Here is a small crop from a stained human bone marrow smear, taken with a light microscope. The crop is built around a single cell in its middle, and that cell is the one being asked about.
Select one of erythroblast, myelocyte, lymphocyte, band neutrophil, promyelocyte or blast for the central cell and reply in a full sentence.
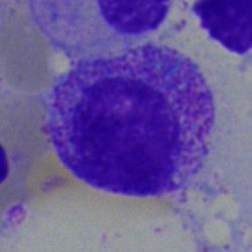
The cell sitting right in the middle is a myelocyte.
